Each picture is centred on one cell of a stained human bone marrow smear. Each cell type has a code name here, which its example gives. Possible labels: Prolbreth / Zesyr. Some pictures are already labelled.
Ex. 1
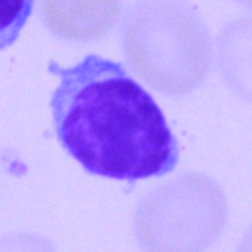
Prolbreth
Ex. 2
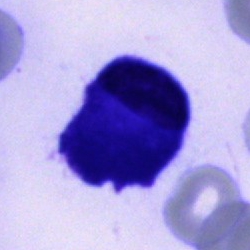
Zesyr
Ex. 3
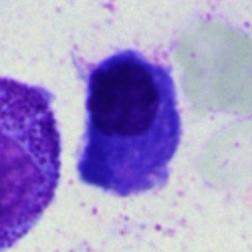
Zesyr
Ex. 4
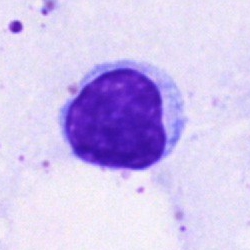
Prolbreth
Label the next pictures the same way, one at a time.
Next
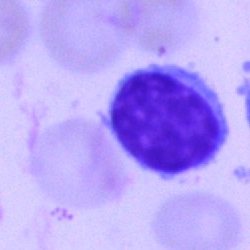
Prolbreth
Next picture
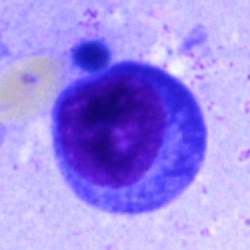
Zesyr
